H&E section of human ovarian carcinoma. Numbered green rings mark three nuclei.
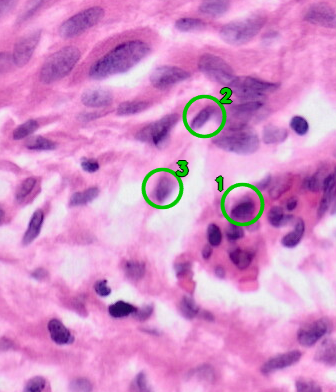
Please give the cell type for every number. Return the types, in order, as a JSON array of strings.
["endothelial cell", "fibroblast", "fibroblast"]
